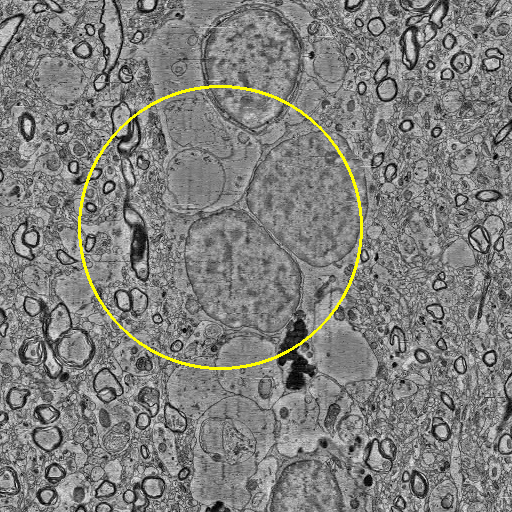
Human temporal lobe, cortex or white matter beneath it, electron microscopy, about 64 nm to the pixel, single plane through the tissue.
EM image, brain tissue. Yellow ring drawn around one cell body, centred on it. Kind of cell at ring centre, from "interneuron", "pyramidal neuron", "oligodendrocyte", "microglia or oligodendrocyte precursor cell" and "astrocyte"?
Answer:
oligodendrocyte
